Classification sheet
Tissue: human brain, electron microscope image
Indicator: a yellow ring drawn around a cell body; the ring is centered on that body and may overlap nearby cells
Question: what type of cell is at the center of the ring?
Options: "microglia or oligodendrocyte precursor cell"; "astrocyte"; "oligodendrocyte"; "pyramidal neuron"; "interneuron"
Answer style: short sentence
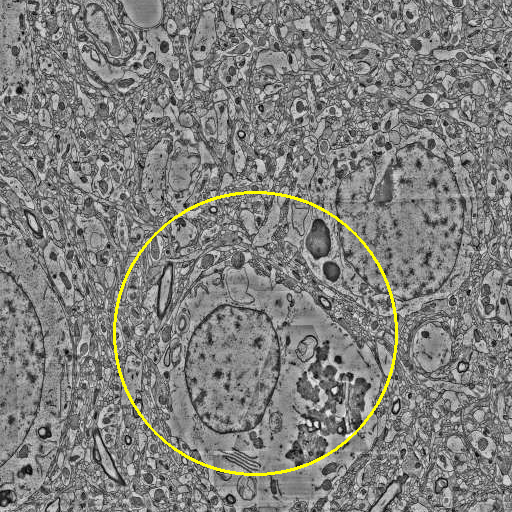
At the ring's center is an astrocyte.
